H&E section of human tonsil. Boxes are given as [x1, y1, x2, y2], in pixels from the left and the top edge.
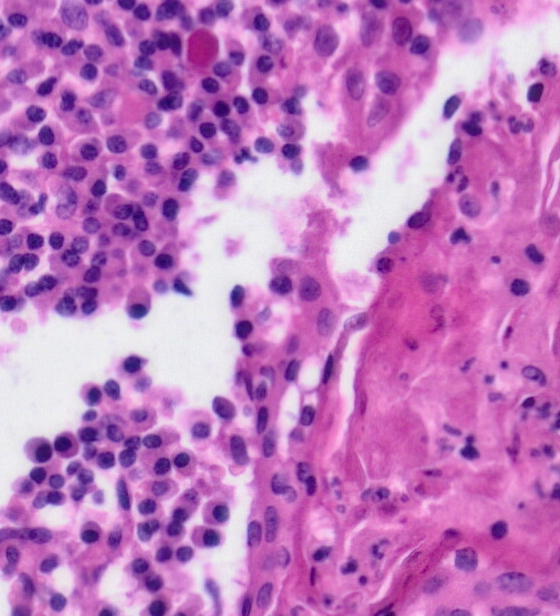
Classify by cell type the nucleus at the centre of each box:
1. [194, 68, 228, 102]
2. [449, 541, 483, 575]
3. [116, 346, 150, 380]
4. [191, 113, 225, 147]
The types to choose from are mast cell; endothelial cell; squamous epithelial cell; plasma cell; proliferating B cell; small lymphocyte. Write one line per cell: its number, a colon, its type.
1: plasma cell
2: squamous epithelial cell
3: plasma cell
4: plasma cell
